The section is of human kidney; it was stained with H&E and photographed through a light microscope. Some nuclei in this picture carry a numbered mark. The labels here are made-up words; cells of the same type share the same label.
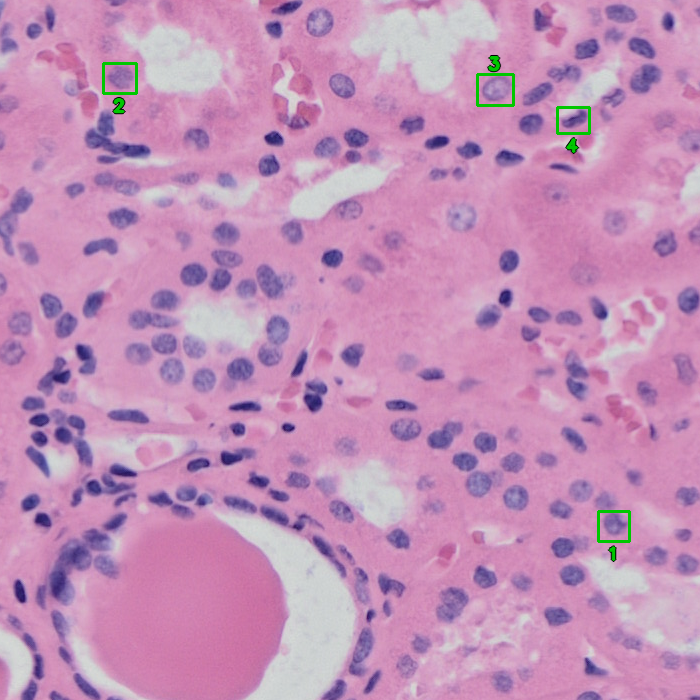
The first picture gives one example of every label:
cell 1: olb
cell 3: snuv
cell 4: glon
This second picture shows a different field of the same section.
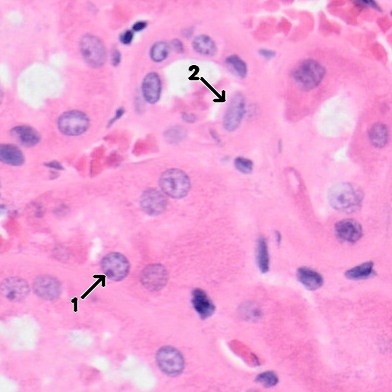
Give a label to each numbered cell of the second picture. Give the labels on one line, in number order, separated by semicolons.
snuv; glon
